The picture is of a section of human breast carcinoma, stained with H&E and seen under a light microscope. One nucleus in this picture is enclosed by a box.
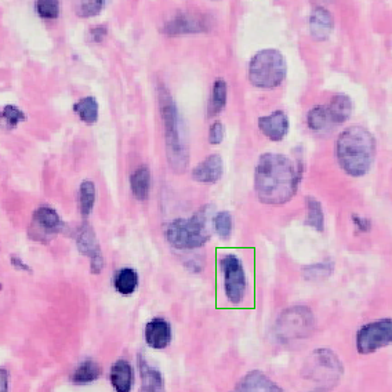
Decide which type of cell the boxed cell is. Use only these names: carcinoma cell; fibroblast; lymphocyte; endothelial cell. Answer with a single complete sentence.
The cell meant here is a lymphocyte.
